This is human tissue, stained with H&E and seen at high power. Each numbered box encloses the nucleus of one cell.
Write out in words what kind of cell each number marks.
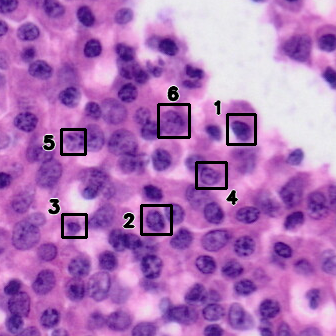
Cells 1, 2, 4 and 5 are plasma cells. Cells 3 and 6 are squamous epithelial cells.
